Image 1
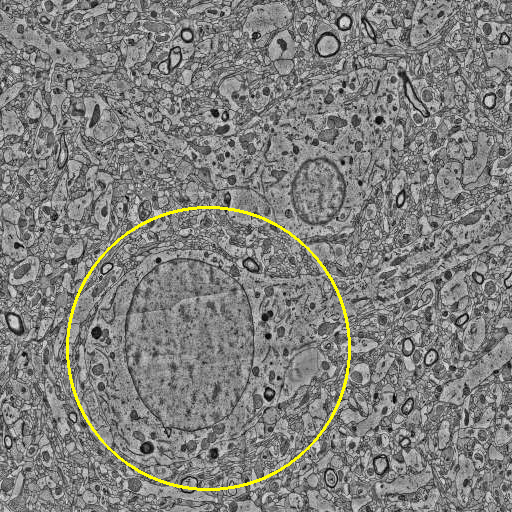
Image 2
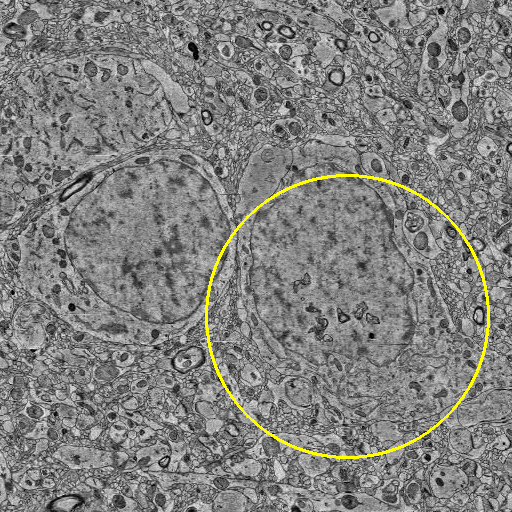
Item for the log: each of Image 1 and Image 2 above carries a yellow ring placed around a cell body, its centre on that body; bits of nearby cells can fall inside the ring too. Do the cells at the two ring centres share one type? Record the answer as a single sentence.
No, the two cells at the ring centres in Image 1 and Image 2 are of two types.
